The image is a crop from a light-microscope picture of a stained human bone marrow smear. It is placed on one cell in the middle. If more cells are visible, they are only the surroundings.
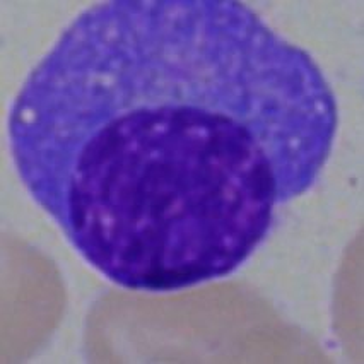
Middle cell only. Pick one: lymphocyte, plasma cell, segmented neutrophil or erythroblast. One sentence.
The crop centres on a single cell, and that cell is a plasma cell.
